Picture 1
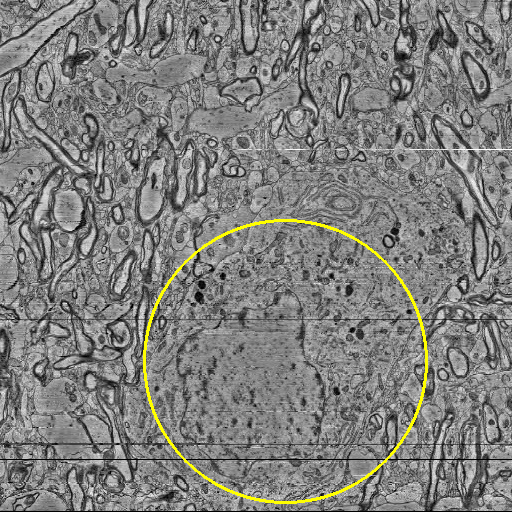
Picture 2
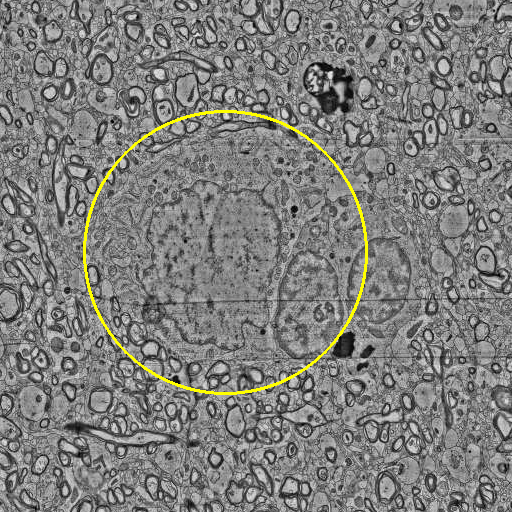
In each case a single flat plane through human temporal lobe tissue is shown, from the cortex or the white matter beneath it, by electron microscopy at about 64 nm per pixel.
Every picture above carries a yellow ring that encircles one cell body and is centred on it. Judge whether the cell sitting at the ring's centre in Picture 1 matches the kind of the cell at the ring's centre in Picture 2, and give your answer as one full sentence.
Yes, the cells centred in the rings of Pictures 1 and 2 belong to one kind.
